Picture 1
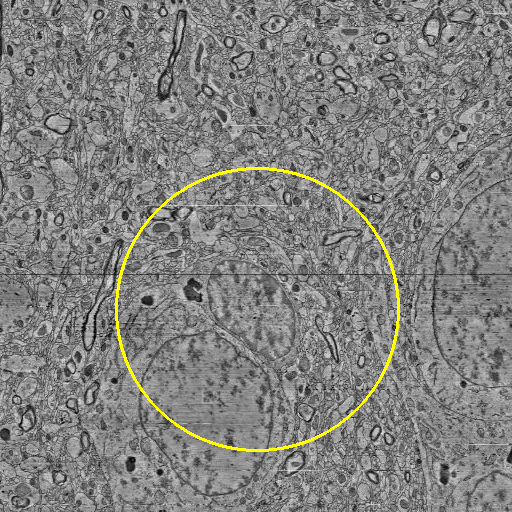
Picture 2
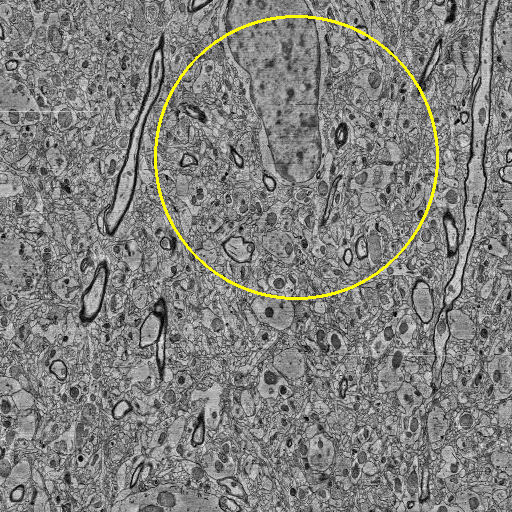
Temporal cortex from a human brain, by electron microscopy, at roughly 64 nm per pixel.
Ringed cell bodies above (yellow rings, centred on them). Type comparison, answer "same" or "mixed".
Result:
mixed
